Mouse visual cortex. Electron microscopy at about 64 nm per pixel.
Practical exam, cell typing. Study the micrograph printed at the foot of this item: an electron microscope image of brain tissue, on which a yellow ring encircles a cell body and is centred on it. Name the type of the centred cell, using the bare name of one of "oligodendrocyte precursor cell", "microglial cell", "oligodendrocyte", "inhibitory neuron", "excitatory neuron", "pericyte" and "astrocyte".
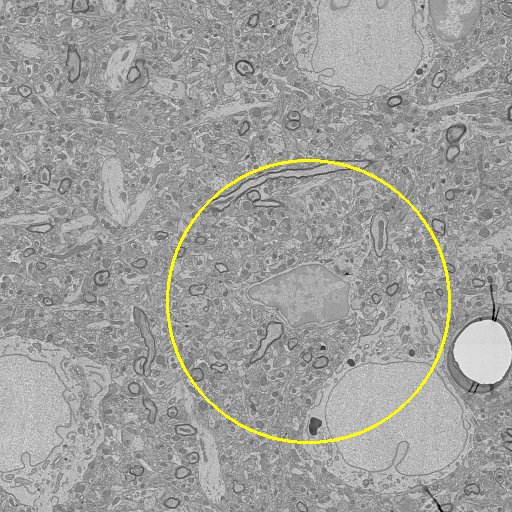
microglial cell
